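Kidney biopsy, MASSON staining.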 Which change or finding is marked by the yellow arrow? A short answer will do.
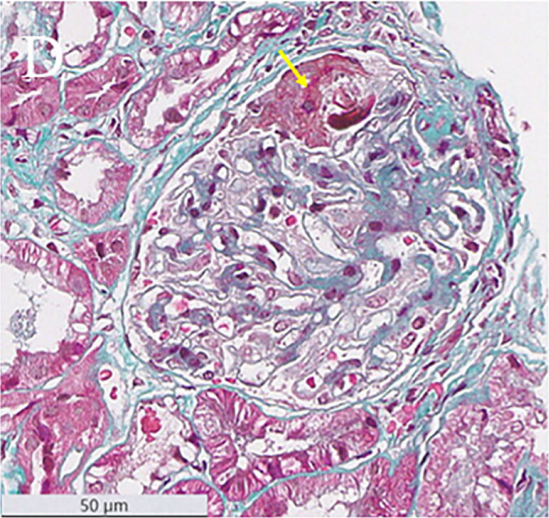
fibrinoid necrosis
